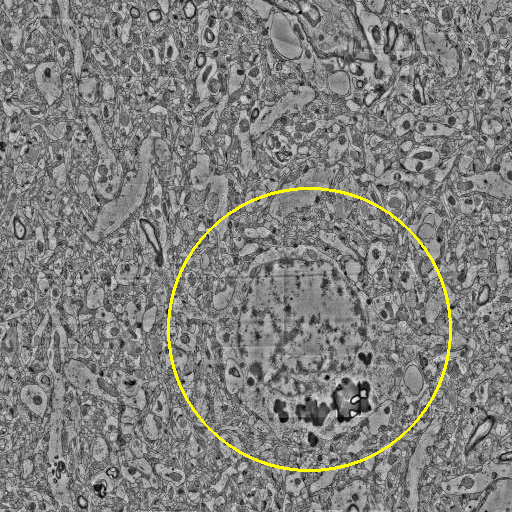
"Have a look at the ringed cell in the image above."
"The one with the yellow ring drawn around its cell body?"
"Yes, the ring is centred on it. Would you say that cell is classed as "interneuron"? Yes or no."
yes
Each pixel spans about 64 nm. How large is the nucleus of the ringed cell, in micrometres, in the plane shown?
About 9 micrometres across in this plane, for the nucleus.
